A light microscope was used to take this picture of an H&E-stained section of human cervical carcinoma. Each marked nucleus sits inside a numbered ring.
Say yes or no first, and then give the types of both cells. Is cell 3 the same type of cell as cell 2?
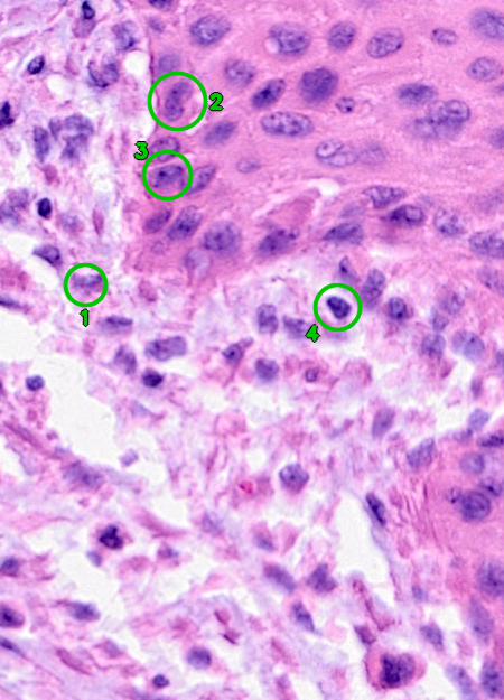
Yes, cells 3 and 2 are both classed as squamous carcinoma cells.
